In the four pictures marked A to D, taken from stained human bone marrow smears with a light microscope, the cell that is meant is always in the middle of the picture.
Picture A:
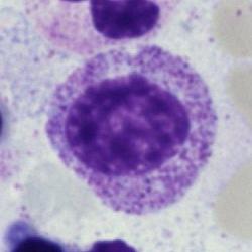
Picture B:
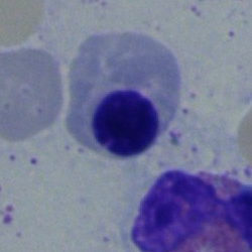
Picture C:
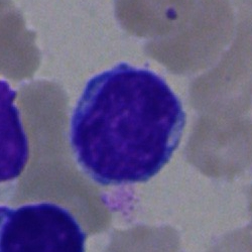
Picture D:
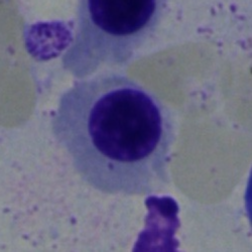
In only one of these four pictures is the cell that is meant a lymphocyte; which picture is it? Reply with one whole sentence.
Picture C shows the lymphocyte.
